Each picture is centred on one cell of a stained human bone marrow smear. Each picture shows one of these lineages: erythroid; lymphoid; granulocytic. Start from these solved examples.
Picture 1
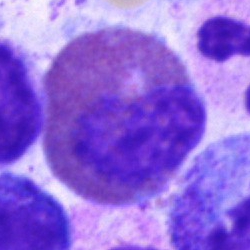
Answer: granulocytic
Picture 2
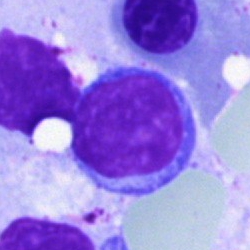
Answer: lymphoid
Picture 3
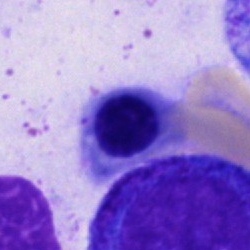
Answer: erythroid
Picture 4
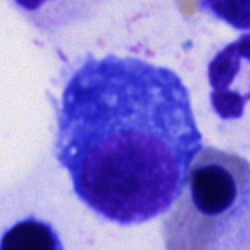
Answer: lymphoid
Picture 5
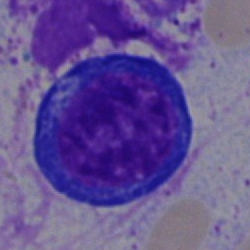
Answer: erythroid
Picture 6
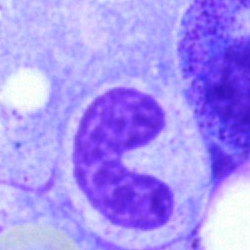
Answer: granulocytic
